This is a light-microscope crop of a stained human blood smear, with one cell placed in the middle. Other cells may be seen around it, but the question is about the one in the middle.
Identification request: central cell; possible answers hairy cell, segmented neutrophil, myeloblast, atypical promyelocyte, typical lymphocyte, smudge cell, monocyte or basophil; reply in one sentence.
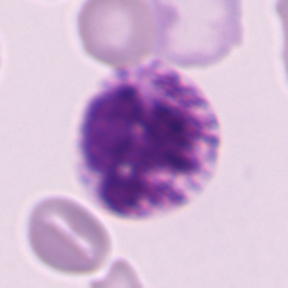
Located at the centre of the crop is a basophil.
